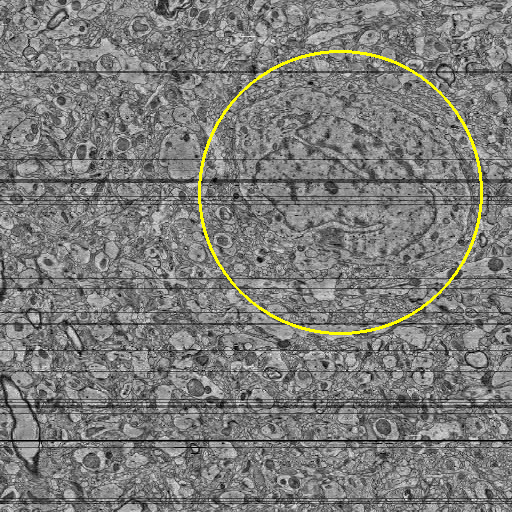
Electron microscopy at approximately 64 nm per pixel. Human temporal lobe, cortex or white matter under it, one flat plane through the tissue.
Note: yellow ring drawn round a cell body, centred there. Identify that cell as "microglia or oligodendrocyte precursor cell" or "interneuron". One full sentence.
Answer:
The cell in the middle of the ring is an interneuron.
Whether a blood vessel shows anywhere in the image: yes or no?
No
